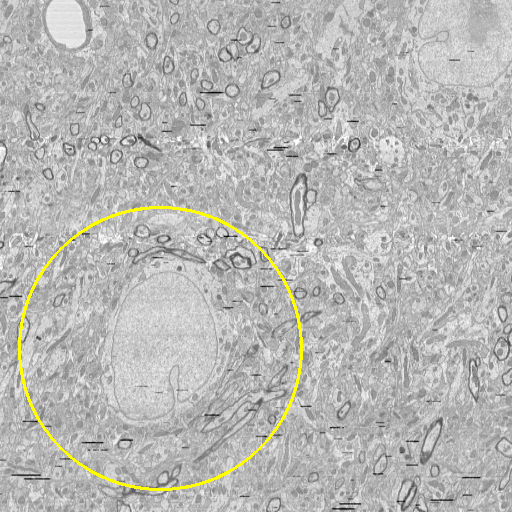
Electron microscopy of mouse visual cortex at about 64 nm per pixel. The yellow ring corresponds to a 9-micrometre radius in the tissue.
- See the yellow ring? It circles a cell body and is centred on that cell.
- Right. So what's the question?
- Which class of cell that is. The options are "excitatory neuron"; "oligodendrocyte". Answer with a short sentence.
The centre of the ring holds an excitatory neuron.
